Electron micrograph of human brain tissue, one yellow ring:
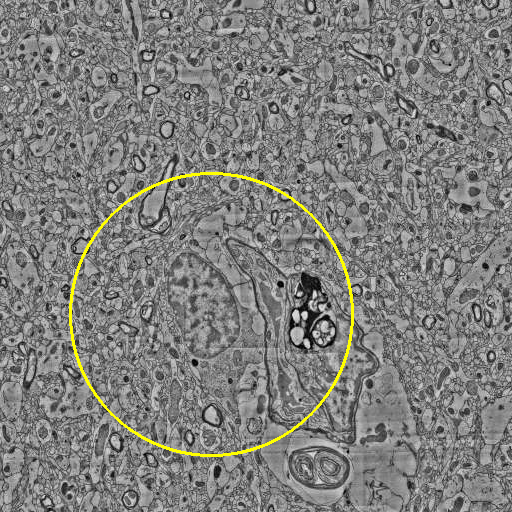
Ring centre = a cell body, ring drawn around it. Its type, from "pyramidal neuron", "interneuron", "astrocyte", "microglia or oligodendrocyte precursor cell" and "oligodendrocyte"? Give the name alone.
oligodendrocyte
